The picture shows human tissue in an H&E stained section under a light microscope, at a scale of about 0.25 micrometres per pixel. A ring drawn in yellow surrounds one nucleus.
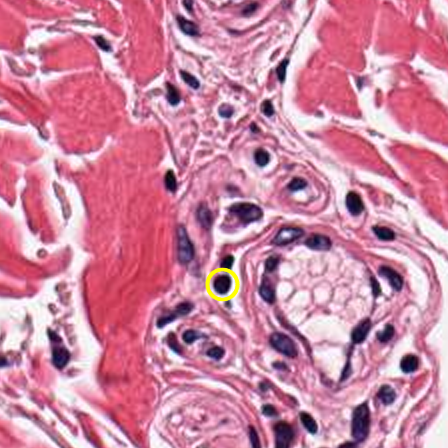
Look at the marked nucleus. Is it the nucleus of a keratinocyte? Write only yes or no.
no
